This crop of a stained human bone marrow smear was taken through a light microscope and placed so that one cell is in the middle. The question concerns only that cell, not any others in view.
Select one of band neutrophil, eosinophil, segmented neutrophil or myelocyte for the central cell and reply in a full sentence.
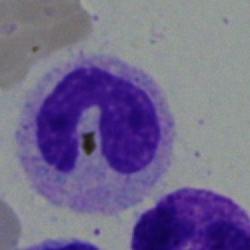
Located at the centre of the crop is a band neutrophil.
